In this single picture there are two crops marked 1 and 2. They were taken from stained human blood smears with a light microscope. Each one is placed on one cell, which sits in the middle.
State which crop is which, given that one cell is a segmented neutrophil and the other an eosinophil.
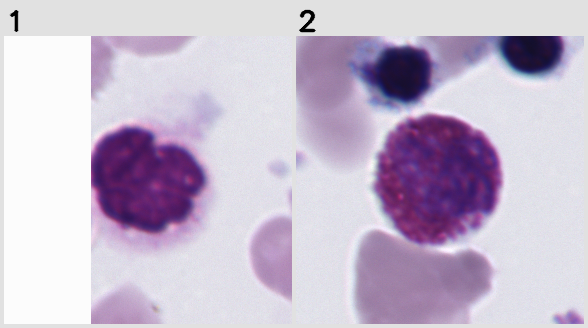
1: segmented neutrophil
2: eosinophil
